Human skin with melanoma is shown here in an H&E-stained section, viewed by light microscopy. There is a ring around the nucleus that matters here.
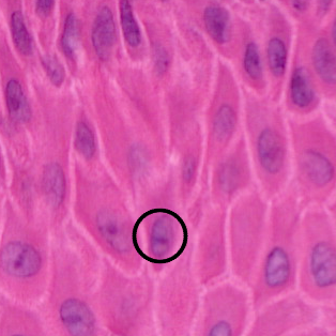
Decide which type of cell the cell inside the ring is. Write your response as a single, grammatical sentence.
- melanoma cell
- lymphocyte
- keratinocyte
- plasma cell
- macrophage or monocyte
Within this tissue, the cell inside the ring is a keratinocyte.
